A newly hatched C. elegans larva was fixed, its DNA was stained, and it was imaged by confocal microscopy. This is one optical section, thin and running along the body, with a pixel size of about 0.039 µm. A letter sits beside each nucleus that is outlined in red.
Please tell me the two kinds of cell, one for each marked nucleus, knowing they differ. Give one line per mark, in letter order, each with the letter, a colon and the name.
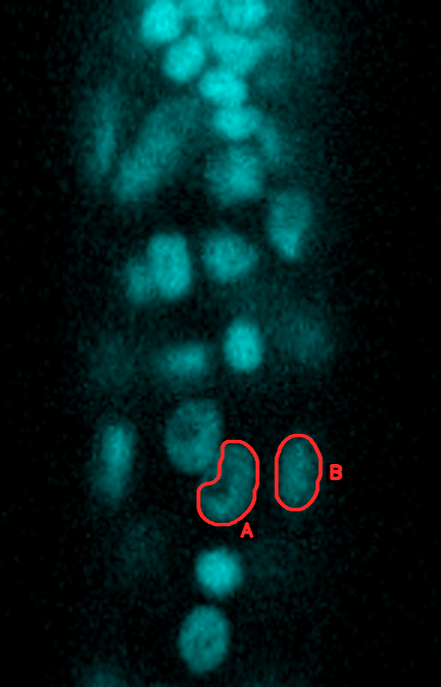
A: hypodermal cell (hyp)
B: body wall muscle cell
